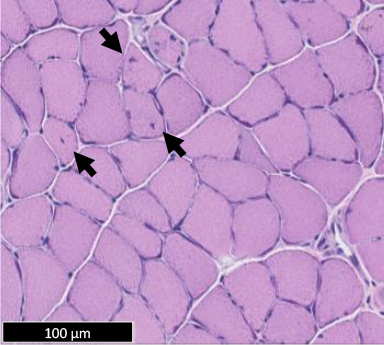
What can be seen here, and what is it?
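A cross-section of skeletal muscle shows closely packed, polygonal muscle fibers with pink cytoplasm separated by thin pale boundaries. Most dark purple nuclei lie flattened at the rims of the fibers, as is usual for muscle. Black arrows point to a few fibers in which a dark nucleus lies inside the fiber, away from its edge. The cytoplasm is evenly stained, and there is little space or tissue between the fibers.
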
